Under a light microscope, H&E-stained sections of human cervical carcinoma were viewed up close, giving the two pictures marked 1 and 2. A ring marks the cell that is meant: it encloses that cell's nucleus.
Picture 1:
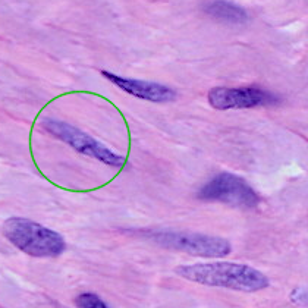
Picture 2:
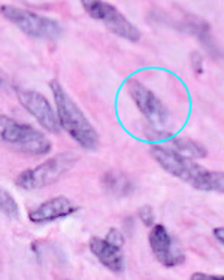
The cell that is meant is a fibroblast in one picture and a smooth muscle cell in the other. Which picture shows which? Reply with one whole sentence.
It is picture 1 that shows a fibroblast, and picture 2 that shows a smooth muscle cell.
